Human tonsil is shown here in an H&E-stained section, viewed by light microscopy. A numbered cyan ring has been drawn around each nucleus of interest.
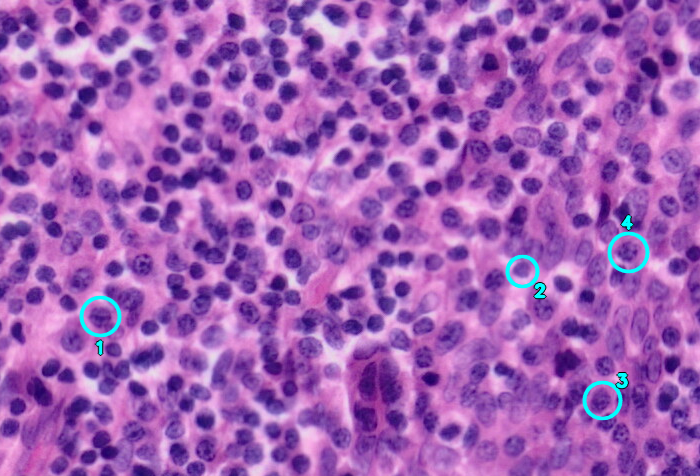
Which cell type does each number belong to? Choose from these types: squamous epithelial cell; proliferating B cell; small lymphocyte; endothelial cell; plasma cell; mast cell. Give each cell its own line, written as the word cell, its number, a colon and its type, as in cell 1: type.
cell 1: plasma cell
cell 2: squamous epithelial cell
cell 3: plasma cell
cell 4: plasma cell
